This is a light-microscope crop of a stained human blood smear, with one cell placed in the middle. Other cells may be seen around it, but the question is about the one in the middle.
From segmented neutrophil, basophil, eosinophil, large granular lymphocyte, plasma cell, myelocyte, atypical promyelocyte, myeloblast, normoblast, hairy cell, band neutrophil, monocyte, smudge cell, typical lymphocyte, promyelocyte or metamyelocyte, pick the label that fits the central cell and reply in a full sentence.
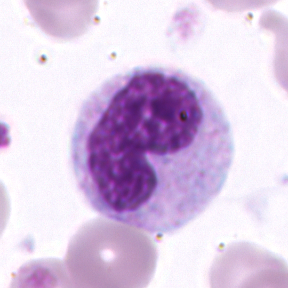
The cell that lies at the centre of the crop is a band neutrophil.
